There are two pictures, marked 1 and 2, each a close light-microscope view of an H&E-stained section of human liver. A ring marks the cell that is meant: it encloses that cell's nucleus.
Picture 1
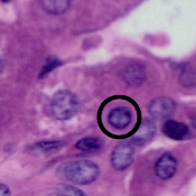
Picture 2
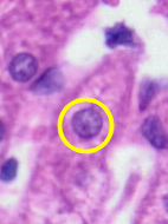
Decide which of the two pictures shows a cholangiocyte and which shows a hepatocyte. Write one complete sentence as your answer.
In picture 1 the cell is a cholangiocyte; in picture 2, a hepatocyte.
